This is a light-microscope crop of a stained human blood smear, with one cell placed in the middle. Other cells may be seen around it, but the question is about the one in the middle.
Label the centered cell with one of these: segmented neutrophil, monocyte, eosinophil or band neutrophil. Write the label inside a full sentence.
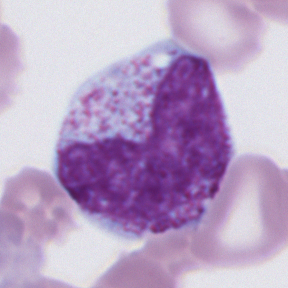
In short, the cell at the center is a band neutrophil.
